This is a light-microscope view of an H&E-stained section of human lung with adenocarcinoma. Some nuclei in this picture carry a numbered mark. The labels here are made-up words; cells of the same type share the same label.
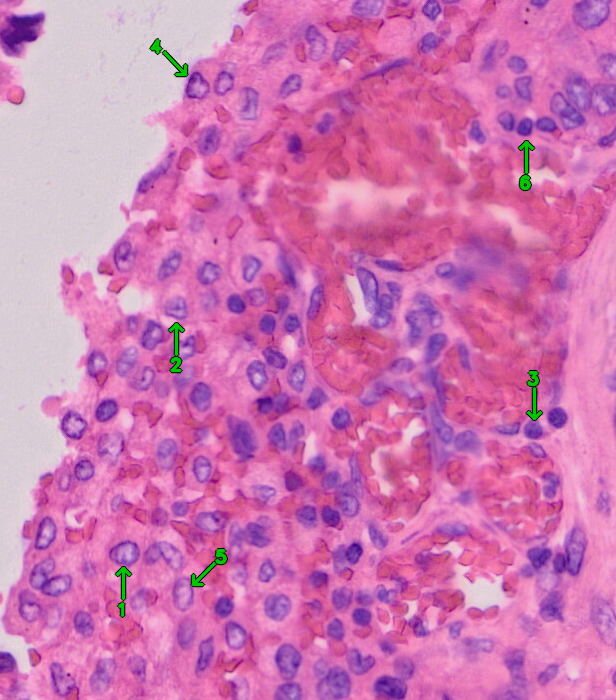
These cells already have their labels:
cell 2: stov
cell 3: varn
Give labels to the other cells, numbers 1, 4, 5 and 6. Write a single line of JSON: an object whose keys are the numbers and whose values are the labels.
{"1": "stov", "4": "stov", "5": "stov", "6": "varn"}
